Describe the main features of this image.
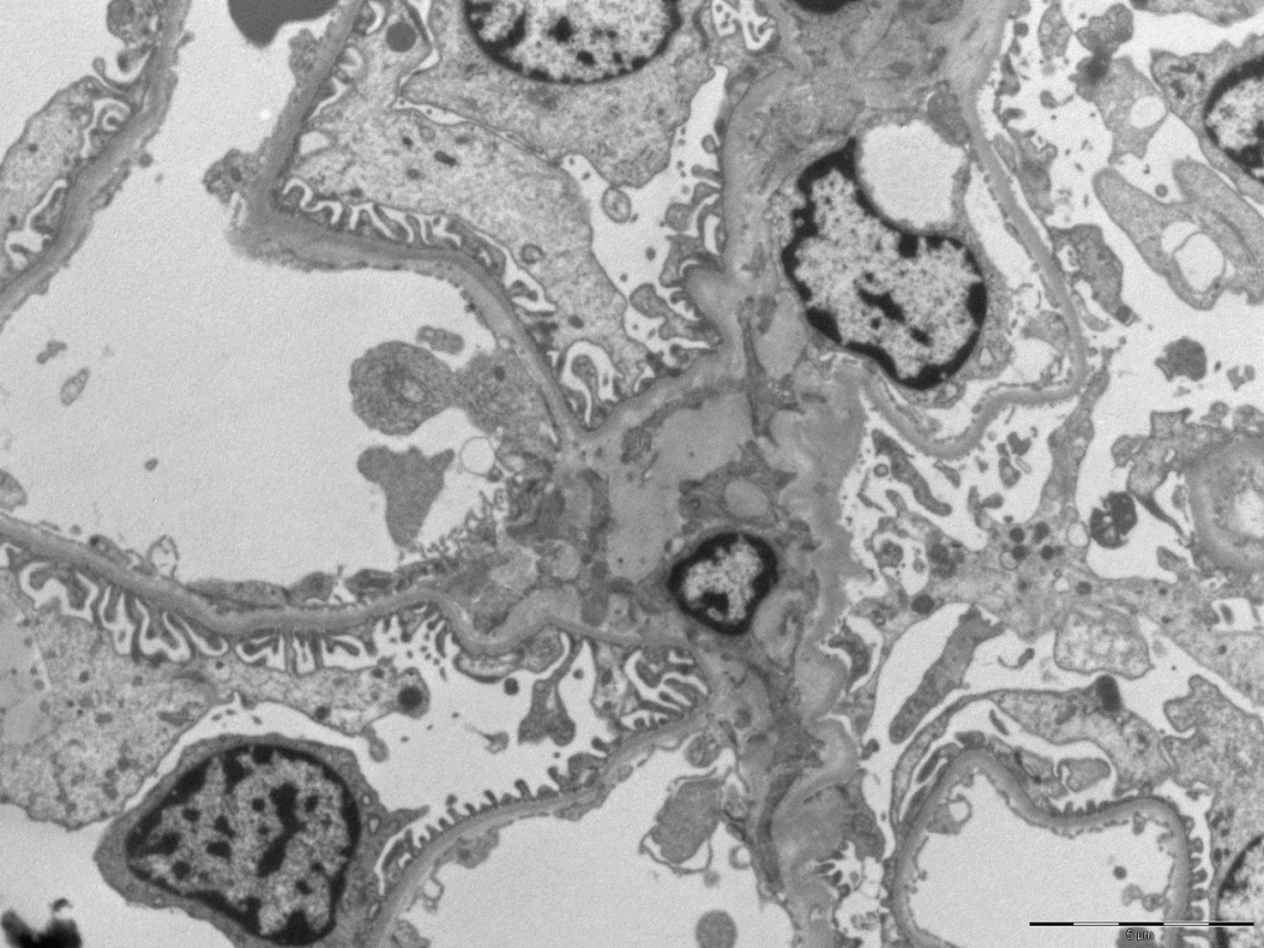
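This is renal tissue showing glomerular capillary loops. The loops are outlined by thin, uniform basement membranes, with rows of regularly spaced foot processes on their outer side. A central stalk of grey matrix holds a small cell with a dense, dark-rimmed nucleus. Several larger cells with clumped peripheral chromatin line the open spaces, and their cytoplasm shows no concentric, layered dense inclusions.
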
